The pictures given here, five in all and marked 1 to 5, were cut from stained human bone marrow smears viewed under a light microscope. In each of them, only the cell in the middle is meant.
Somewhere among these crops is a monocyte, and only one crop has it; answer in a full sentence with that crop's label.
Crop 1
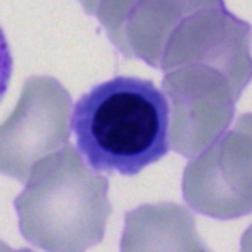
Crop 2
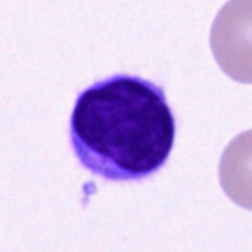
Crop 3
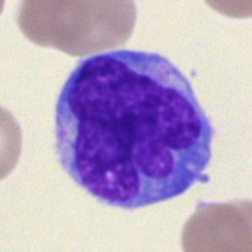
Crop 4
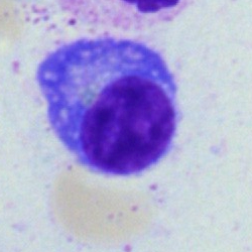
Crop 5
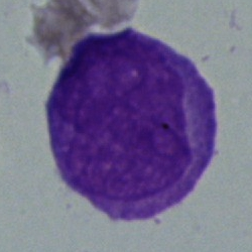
The crop bearing a monocyte is crop 3.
